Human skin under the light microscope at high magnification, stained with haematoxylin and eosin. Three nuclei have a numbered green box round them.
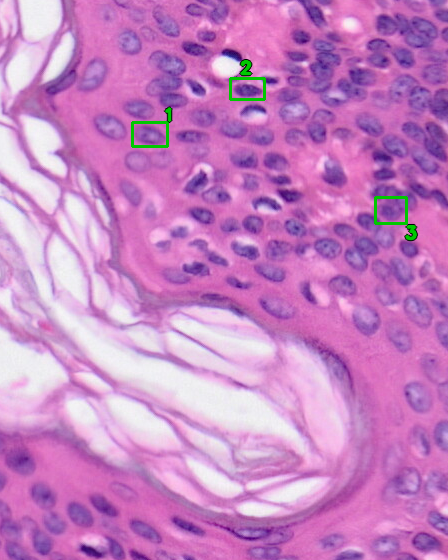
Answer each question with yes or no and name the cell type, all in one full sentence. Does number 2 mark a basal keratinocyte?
Yes, the cell labelled with number 2 is a basal keratinocyte.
